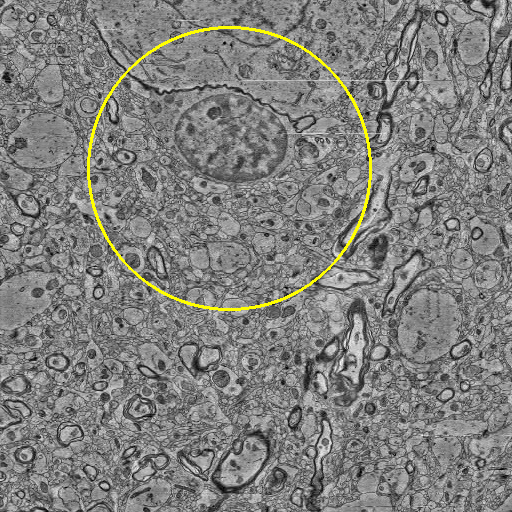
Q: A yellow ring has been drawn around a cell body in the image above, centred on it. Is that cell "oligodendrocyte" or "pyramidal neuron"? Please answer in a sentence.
The ring surrounds the cell body of an oligodendrocyte.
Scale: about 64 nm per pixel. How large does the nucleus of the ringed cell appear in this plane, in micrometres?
About 7 micrometres by about 6 micrometres in this plane.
